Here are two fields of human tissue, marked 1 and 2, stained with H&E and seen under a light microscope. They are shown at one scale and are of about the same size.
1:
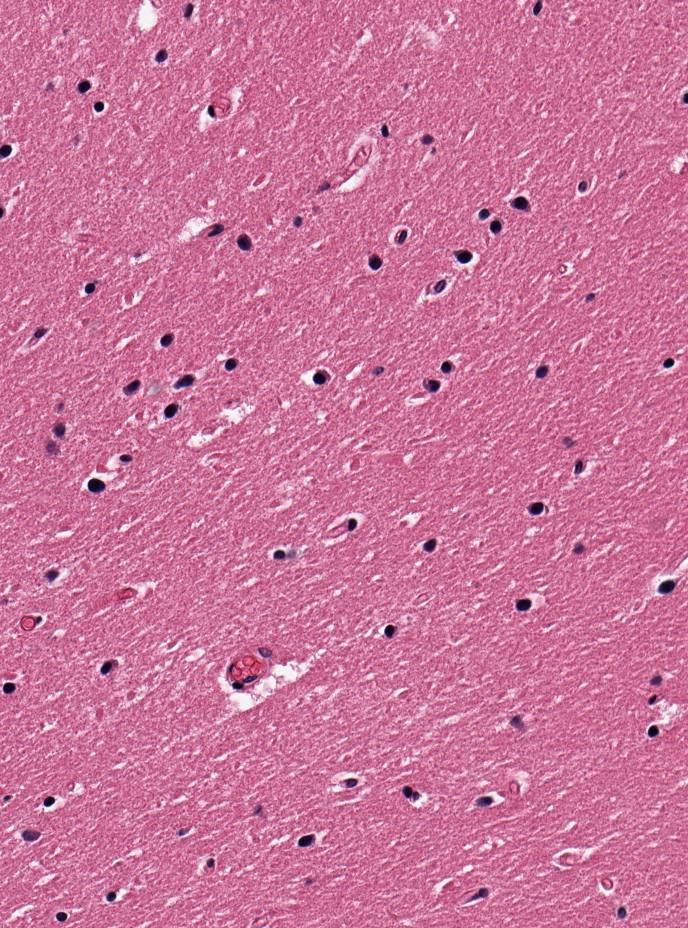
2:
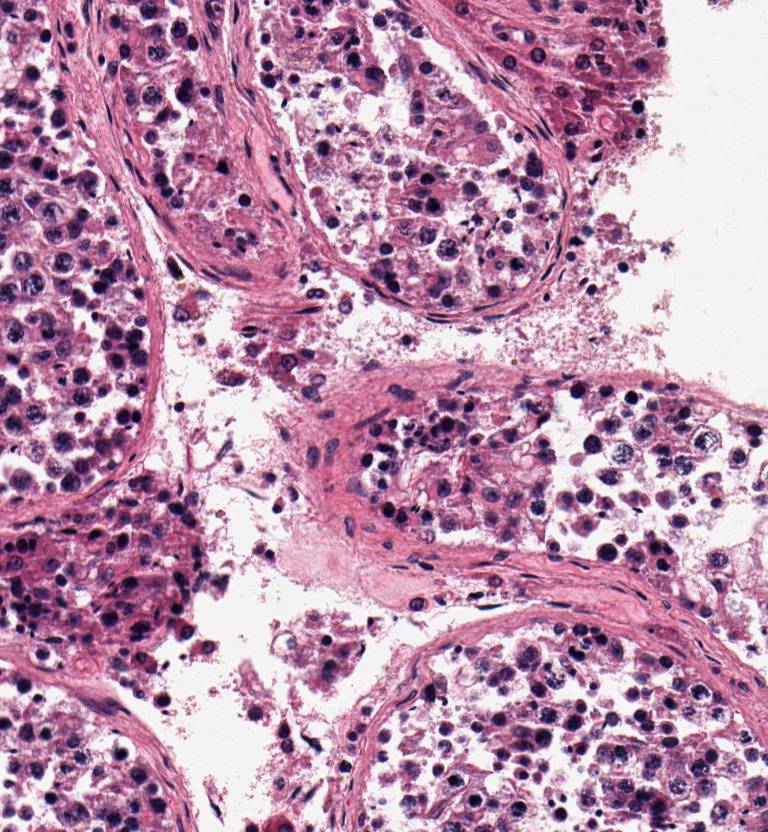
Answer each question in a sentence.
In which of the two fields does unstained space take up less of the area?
Field 1 has less white space.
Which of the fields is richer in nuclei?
Field 2 holds more nuclei than field 1.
